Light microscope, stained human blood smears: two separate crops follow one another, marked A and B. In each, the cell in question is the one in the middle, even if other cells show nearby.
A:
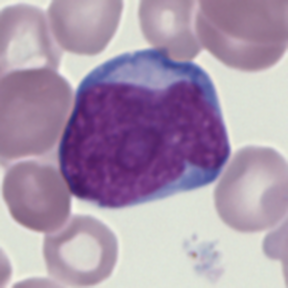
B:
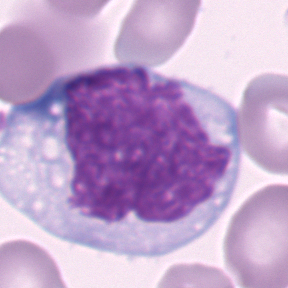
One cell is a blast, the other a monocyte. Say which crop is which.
A: blast
B: monocyte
